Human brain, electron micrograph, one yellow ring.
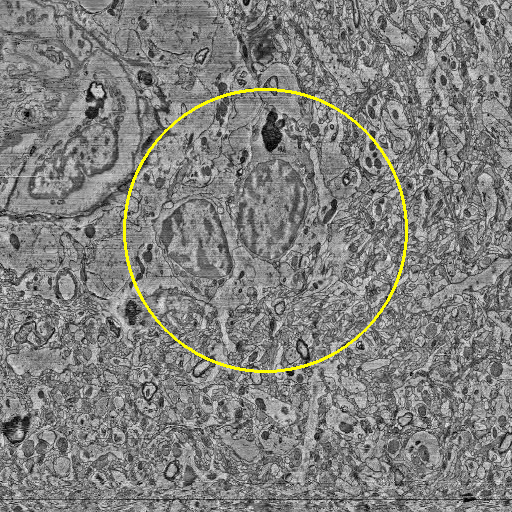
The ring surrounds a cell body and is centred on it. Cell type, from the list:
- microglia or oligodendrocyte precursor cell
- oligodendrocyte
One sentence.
The yellow ring circles an oligodendrocyte.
